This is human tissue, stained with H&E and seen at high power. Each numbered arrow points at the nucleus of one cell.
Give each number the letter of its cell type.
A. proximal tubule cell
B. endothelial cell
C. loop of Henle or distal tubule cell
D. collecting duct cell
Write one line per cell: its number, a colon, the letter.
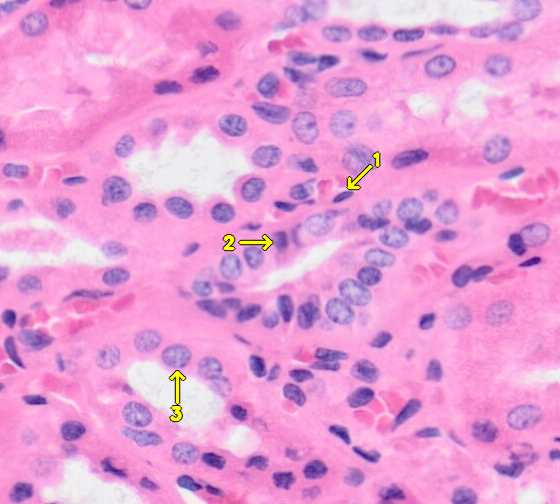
1: B
2: D
3: C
